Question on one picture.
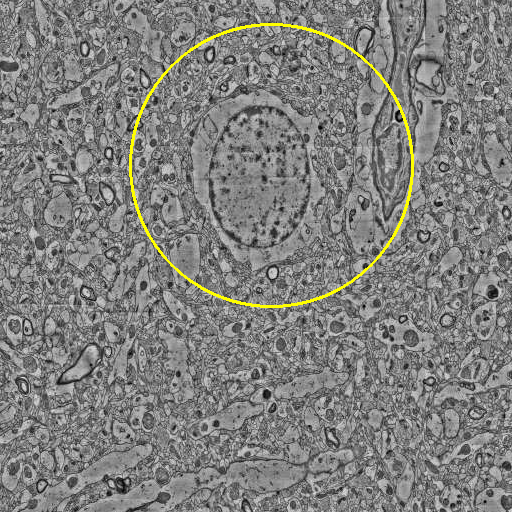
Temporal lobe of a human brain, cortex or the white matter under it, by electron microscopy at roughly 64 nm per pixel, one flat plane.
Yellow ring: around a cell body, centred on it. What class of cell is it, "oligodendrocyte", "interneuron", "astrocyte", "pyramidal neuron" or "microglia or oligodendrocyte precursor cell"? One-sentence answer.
This is an astrocyte, the cell the ring is centred on.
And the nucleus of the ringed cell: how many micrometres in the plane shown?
The nucleus has a long axis of about 9 micrometres and a short axis of about 7 micrometres in this plane.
